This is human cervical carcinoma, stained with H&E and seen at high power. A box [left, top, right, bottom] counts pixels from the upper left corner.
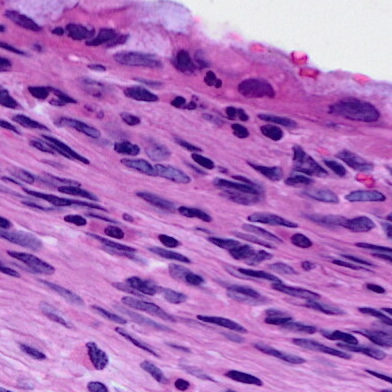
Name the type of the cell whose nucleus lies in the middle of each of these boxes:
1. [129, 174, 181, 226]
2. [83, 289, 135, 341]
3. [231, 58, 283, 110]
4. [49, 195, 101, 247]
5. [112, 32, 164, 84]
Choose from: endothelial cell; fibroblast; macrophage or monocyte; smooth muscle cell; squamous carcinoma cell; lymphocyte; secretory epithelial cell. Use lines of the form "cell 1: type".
cell 1: fibroblast
cell 2: fibroblast
cell 3: secretory epithelial cell
cell 4: lymphocyte
cell 5: secretory epithelial cell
